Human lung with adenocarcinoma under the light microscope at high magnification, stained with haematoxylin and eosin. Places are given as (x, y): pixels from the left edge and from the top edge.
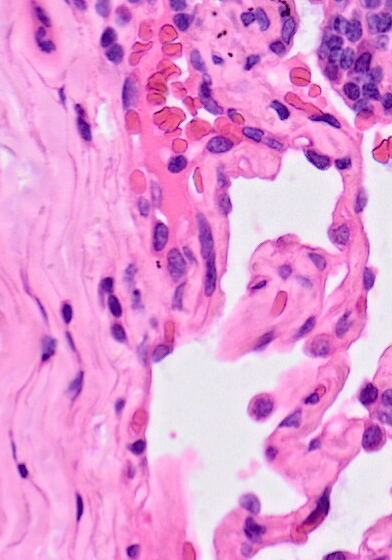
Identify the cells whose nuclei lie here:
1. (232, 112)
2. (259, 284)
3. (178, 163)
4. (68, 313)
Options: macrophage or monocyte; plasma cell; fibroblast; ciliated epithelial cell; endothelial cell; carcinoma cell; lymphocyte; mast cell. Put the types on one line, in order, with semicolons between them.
endothelial cell; endothelial cell; lymphocyte; mast cell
